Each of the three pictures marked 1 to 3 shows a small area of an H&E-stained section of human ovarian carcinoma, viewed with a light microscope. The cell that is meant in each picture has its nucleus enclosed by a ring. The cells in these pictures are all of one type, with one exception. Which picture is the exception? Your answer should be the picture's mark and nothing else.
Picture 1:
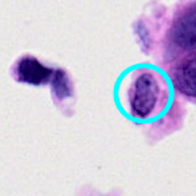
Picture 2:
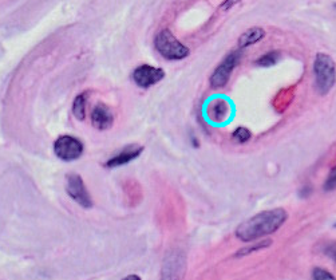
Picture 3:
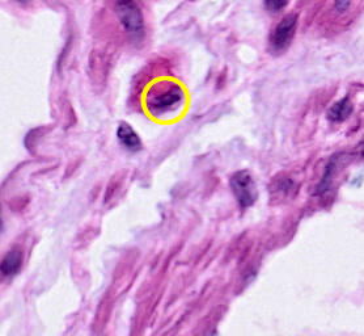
1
